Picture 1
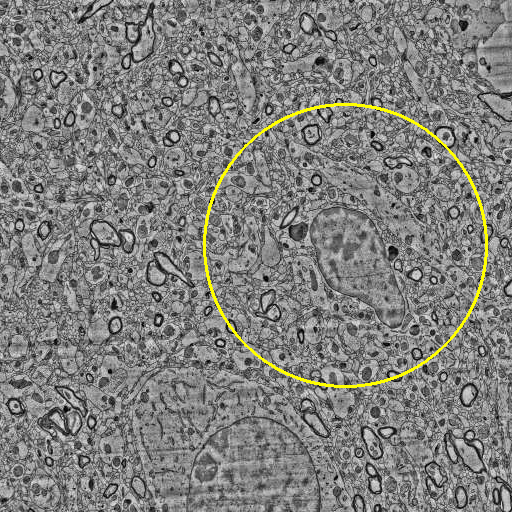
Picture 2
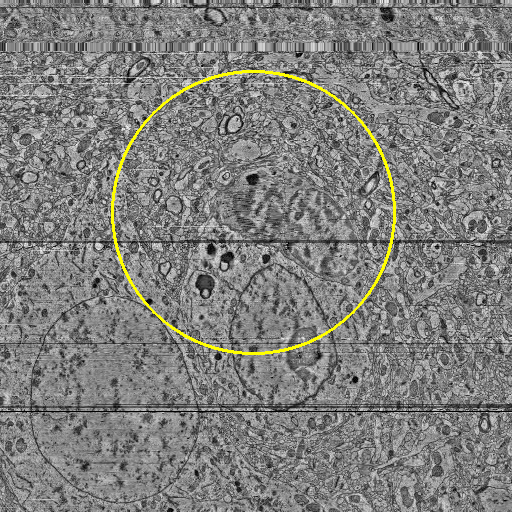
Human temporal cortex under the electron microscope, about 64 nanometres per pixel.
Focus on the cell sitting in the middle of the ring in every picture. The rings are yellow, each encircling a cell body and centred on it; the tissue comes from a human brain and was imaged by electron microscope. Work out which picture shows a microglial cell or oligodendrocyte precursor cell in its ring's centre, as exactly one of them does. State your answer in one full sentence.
In picture 1, the ring is centred on the cell in question.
